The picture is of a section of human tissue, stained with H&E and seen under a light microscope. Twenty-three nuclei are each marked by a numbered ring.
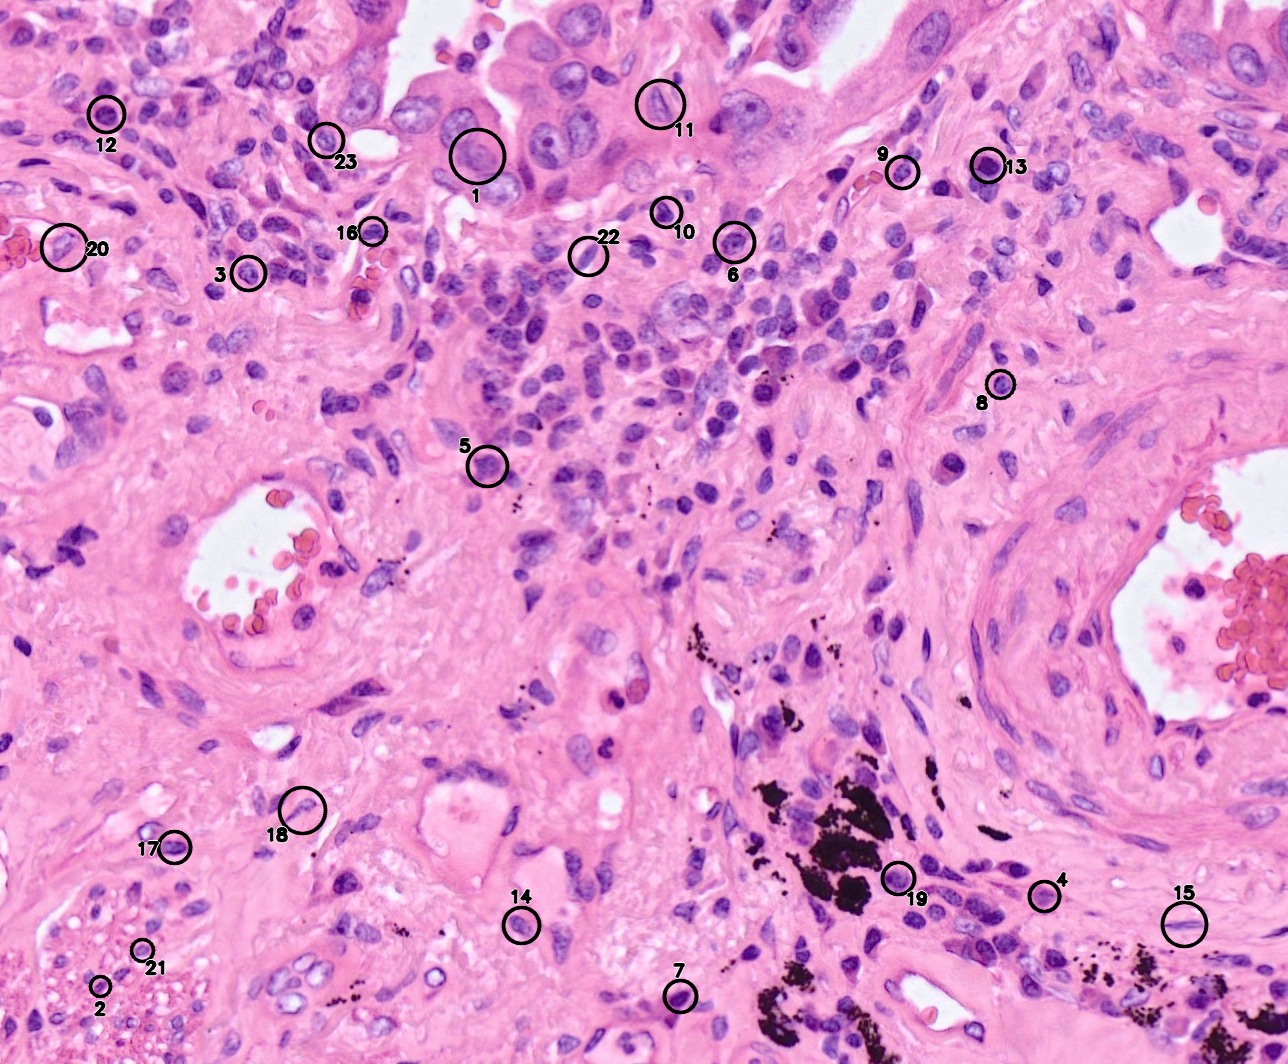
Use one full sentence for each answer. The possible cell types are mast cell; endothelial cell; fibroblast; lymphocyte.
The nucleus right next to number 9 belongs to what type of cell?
Number 9 lies closest to the nucleus of a lymphocyte.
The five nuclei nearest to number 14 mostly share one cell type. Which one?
Most of the five nuclei nearest to number 14 are those of endothelial cells.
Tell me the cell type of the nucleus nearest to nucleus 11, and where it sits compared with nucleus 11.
The closest nucleus belongs to a lymphocyte and sits above and to the right of nucleus 11.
